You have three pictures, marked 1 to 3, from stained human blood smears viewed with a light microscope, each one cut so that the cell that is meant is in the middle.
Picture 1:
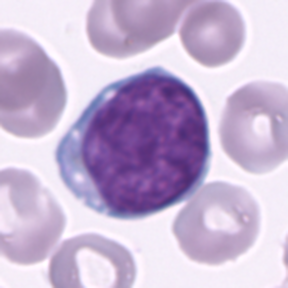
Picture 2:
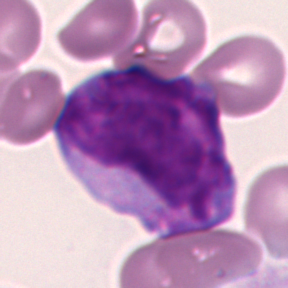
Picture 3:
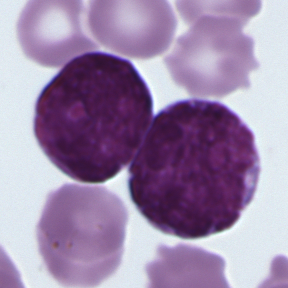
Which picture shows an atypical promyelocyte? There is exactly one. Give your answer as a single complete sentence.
The picture with the atypical promyelocyte is 2.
